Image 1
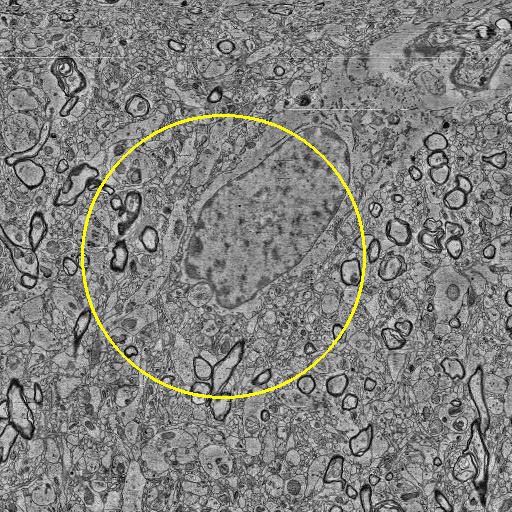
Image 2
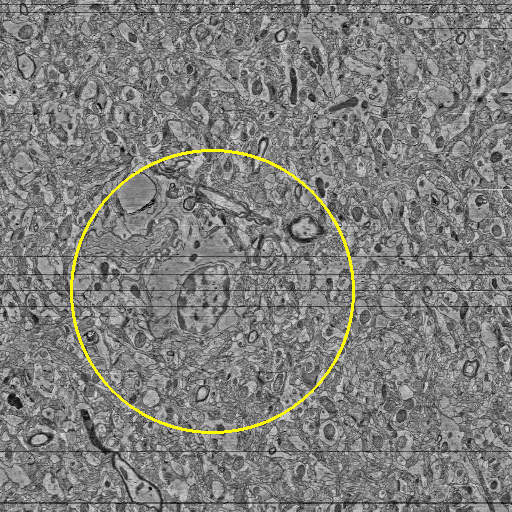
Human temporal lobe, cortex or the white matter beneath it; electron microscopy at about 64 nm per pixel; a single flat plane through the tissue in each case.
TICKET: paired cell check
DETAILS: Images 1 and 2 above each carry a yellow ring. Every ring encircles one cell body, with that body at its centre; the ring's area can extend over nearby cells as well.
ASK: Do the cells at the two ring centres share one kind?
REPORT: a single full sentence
Yes, the ring-centre cells of Images 1 and 2 belong to a single kind.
